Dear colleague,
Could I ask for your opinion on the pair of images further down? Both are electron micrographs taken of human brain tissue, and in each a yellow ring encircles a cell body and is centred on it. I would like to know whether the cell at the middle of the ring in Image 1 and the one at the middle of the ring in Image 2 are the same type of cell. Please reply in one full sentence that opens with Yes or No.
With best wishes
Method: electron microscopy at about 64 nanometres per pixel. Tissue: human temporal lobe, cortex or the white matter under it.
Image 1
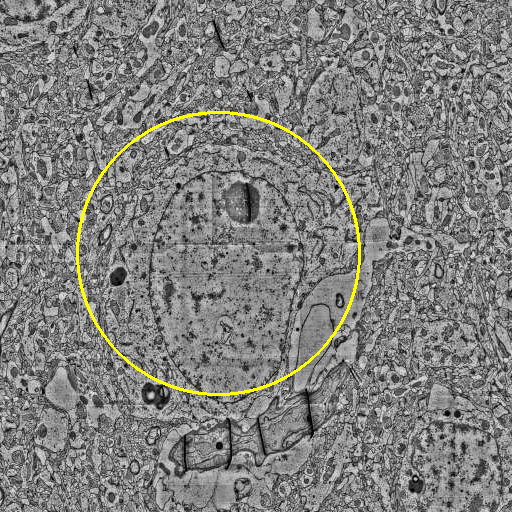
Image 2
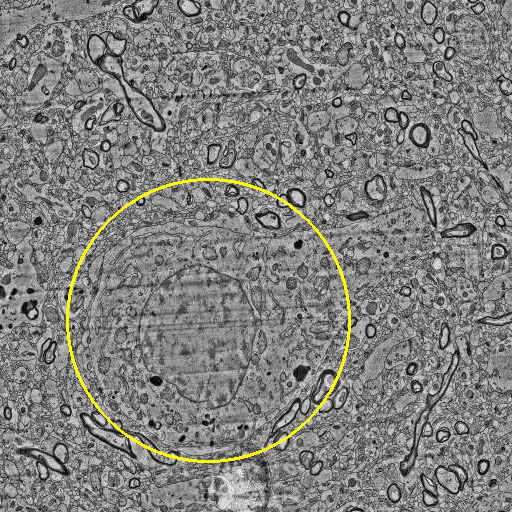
Yes, the cells at the ring centres in Image 1 and Image 2 are of one type.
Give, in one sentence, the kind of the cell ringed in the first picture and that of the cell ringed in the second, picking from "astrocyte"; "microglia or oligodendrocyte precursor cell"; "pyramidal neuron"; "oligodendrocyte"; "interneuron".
In the first picture and in the second, the ring is centred on a pyramidal neuron.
